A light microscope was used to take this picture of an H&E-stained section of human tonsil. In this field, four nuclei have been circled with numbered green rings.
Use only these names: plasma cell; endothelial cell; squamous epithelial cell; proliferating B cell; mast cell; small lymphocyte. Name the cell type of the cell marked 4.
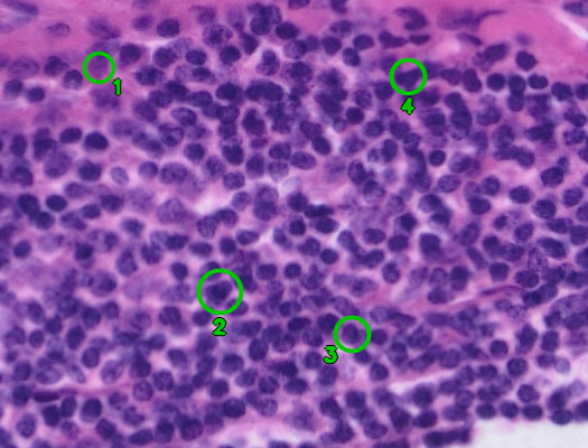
small lymphocyte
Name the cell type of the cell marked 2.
small lymphocyte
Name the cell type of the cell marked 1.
endothelial cell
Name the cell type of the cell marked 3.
small lymphocyte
